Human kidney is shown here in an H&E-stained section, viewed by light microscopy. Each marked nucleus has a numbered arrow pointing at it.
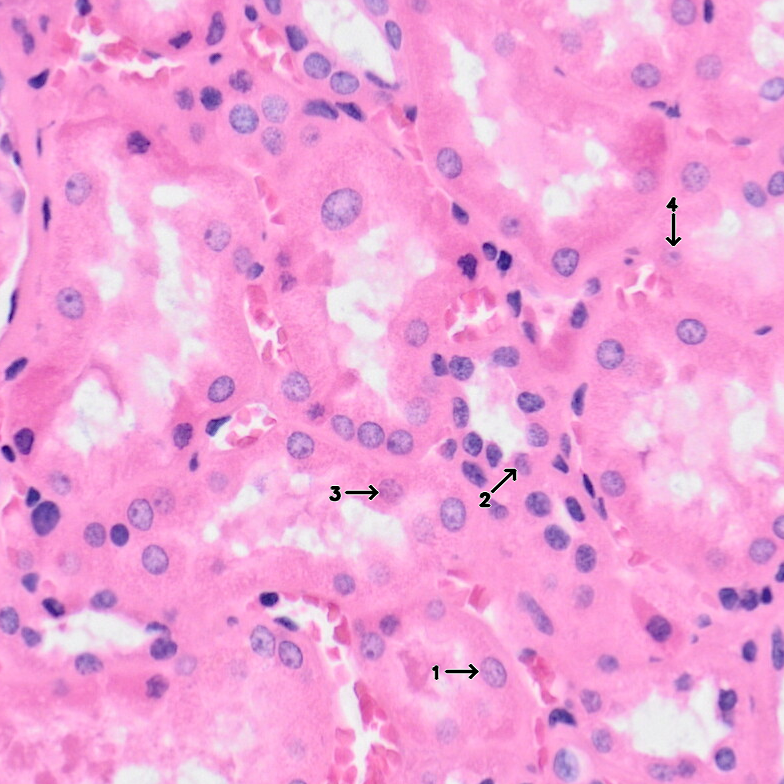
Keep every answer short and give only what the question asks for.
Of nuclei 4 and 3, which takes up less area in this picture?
4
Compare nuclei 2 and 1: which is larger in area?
1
